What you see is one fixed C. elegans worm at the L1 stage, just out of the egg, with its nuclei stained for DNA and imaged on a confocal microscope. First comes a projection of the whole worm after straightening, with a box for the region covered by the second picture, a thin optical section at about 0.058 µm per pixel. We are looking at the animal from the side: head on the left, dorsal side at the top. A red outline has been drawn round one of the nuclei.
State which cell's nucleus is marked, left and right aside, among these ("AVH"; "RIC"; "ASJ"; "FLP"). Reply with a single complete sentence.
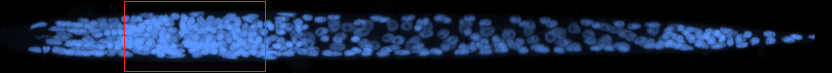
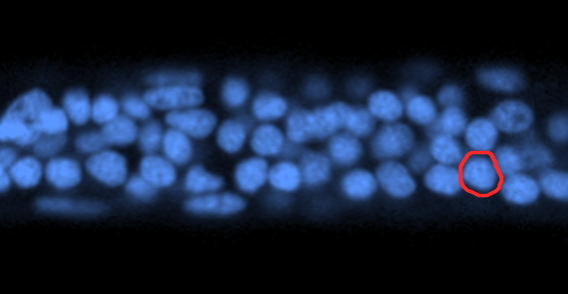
The marked cell is FLP, a neuron.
